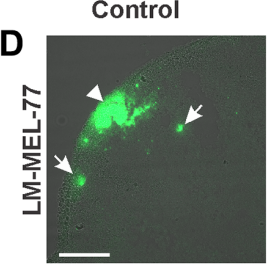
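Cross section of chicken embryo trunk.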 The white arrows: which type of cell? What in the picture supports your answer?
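Motile melanoma cells. Small green spots lie apart from the large green mass.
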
